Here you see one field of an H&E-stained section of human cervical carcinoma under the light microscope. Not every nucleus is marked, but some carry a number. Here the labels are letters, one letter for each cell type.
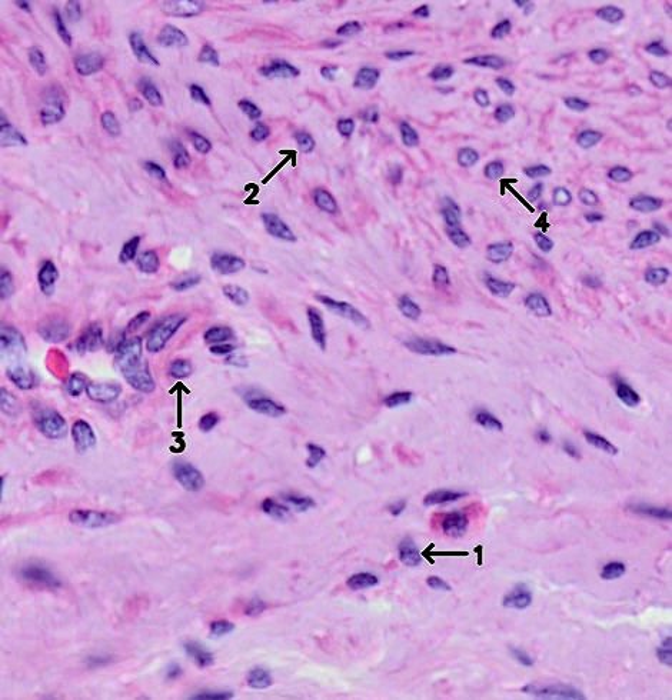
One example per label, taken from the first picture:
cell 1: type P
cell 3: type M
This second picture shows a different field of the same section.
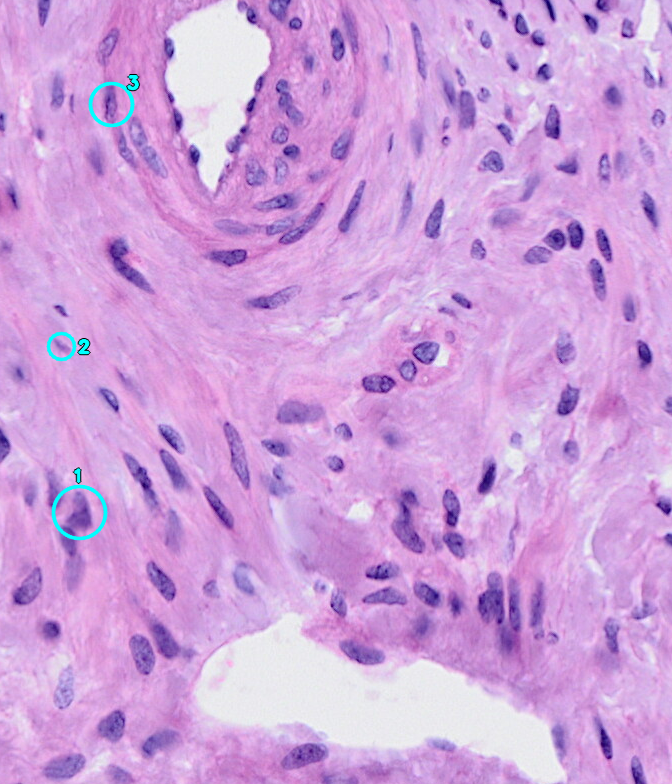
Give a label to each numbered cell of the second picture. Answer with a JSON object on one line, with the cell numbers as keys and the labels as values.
{"1": "type P", "2": "type P", "3": "type M"}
